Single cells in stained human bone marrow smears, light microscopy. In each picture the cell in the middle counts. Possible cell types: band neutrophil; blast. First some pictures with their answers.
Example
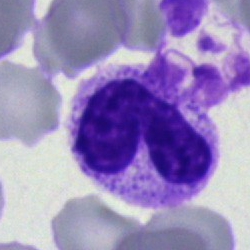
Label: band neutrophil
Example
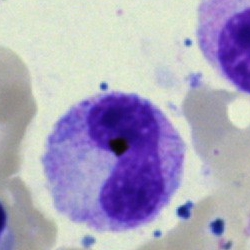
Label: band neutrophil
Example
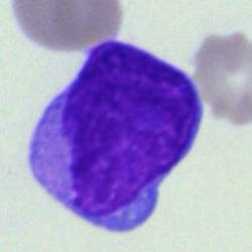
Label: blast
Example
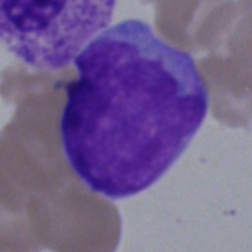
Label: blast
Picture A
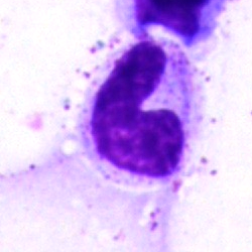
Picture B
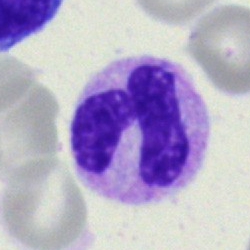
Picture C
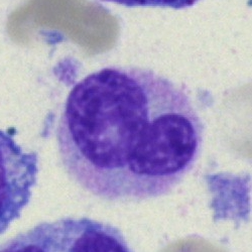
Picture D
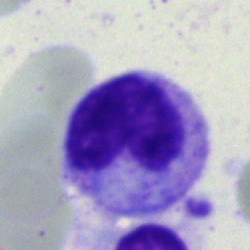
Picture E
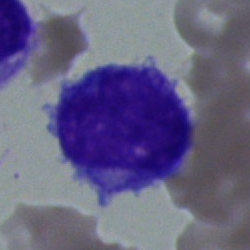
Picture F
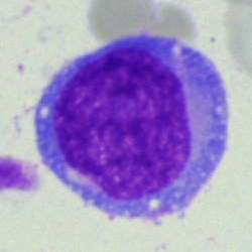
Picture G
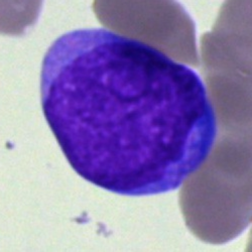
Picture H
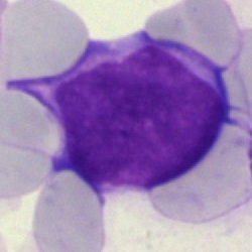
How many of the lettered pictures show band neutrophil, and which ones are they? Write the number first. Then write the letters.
4: A, B, C, D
